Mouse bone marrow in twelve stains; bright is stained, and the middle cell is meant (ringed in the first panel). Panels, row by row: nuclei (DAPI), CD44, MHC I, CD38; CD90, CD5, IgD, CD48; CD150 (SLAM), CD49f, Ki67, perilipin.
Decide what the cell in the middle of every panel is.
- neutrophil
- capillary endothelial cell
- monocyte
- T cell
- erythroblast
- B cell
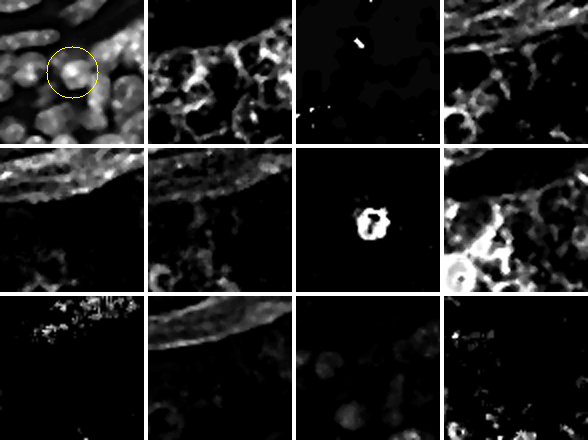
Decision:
B cell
